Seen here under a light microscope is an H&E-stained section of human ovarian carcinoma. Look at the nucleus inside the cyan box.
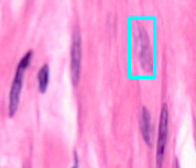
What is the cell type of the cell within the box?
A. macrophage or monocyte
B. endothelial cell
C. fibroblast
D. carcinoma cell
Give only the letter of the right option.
C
